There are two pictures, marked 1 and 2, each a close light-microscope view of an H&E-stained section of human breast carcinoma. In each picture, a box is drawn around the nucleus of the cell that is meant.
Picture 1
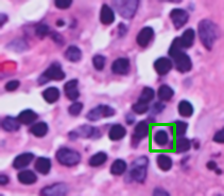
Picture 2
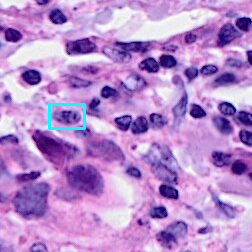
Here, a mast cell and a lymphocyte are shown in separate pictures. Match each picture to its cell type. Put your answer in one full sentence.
Picture 2 shows a mast cell, while picture 1 shows a lymphocyte.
